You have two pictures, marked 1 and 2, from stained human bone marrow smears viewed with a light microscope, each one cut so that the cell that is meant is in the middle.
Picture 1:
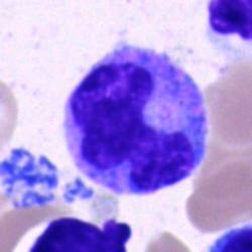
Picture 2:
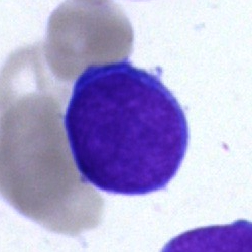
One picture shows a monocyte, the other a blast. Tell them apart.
1: monocyte
2: blast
